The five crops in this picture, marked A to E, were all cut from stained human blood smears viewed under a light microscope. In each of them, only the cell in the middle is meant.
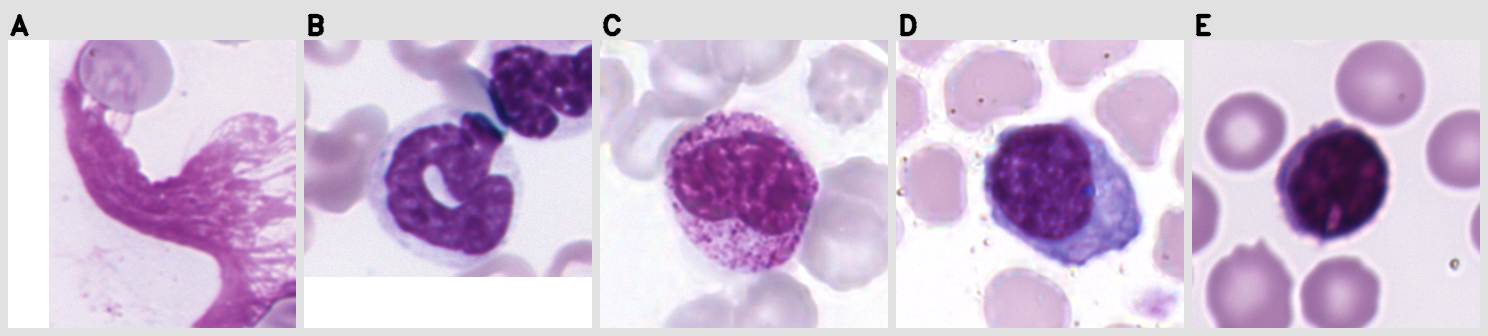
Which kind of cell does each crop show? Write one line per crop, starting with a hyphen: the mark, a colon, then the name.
- A: smudge cell
- B: monocyte
- C: metamyelocyte
- D: plasma cell
- E: typical lymphocyte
